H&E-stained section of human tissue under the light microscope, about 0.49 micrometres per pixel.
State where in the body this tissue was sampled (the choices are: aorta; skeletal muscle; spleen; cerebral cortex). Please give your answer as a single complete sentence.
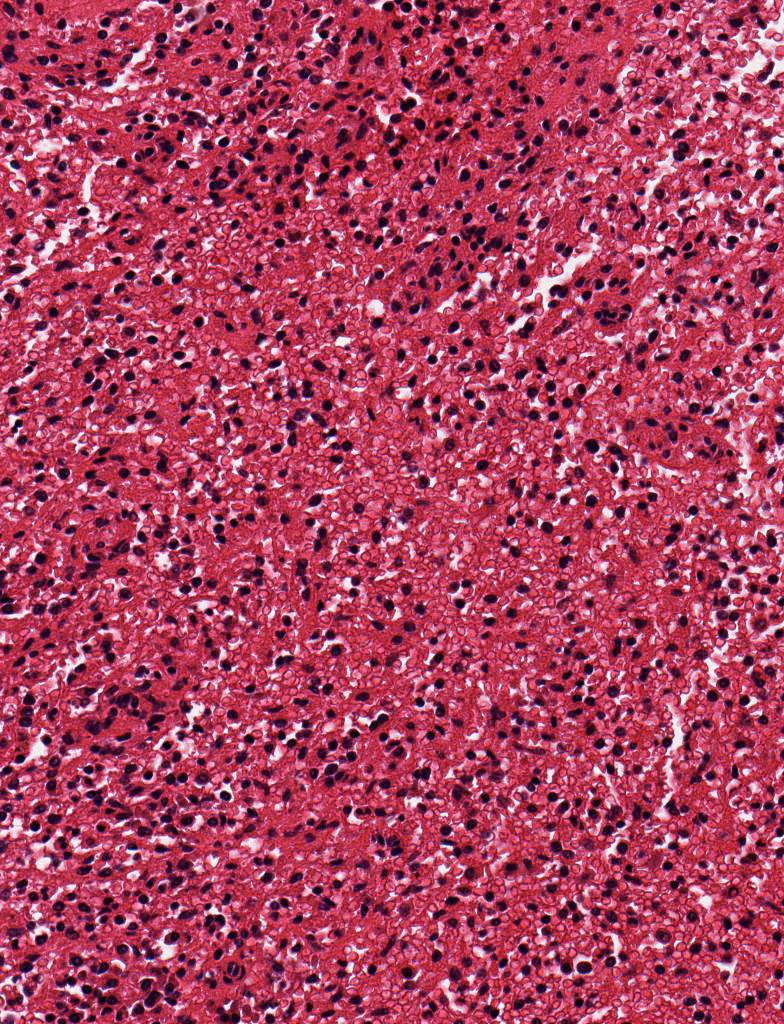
From the spleen this tissue was sampled.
